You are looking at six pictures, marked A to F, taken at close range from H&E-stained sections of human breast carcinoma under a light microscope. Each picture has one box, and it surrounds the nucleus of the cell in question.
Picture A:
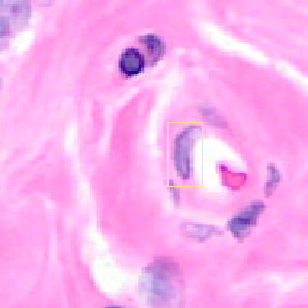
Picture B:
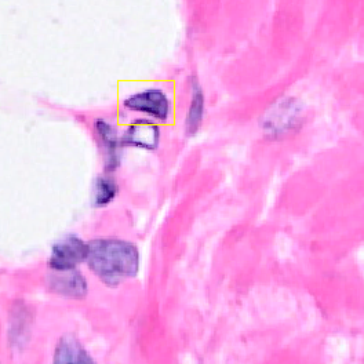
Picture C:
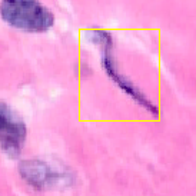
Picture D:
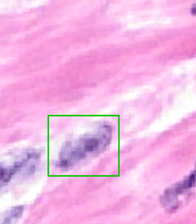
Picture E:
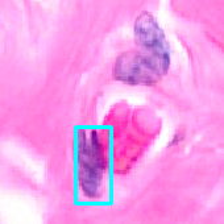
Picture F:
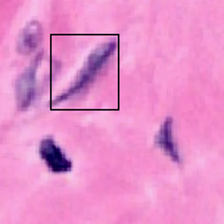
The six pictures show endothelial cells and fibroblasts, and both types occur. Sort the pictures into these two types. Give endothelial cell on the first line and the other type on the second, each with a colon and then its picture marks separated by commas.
endothelial cell: A, B, E
fibroblast: C, D, F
